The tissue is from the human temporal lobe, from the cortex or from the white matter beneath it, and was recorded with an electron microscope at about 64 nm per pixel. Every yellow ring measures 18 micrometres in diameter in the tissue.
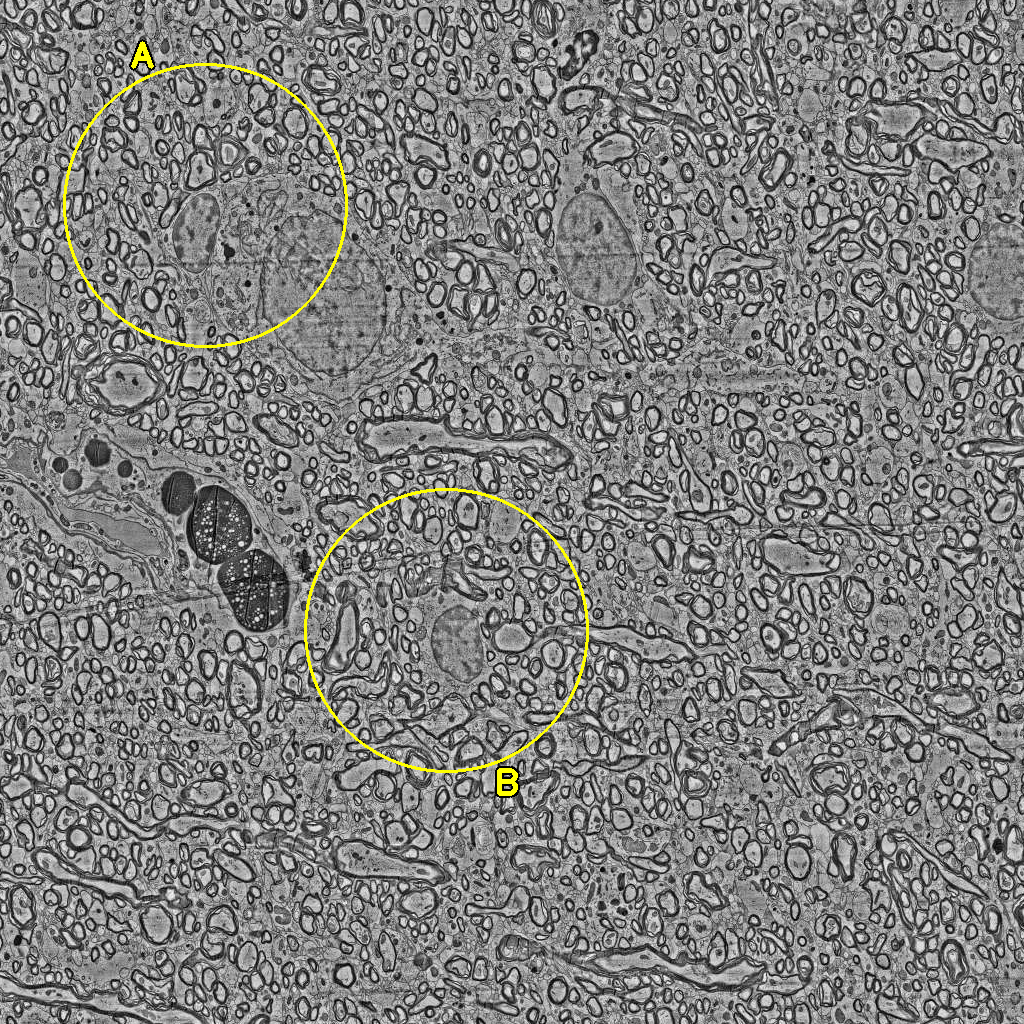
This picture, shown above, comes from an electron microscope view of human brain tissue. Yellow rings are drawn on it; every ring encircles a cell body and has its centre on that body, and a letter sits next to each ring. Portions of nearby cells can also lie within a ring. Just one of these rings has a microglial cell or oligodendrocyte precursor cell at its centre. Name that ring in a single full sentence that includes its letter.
In the picture, ring A has the cell asked for at its centre.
